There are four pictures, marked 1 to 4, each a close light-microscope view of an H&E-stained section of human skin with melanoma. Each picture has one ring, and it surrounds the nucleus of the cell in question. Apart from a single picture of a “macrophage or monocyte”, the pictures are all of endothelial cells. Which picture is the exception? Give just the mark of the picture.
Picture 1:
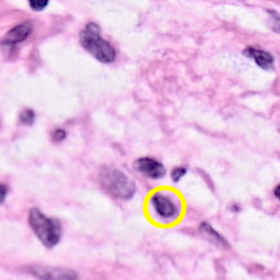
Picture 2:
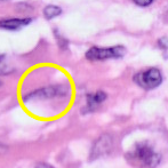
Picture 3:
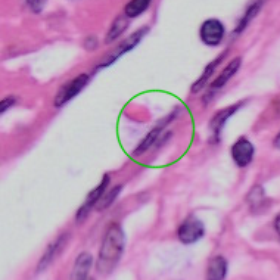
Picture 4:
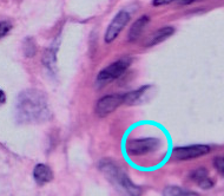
1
